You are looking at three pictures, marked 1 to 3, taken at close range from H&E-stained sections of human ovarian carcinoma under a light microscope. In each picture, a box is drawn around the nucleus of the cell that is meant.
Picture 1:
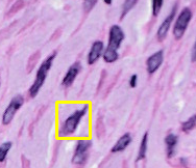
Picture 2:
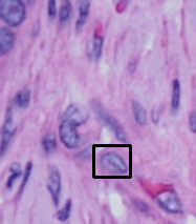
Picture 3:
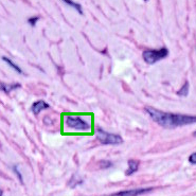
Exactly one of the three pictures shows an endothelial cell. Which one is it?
2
